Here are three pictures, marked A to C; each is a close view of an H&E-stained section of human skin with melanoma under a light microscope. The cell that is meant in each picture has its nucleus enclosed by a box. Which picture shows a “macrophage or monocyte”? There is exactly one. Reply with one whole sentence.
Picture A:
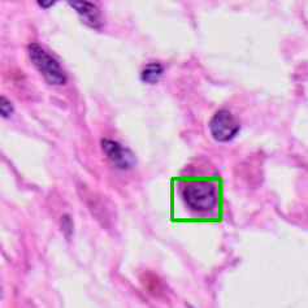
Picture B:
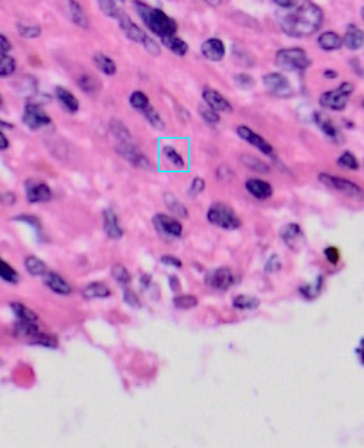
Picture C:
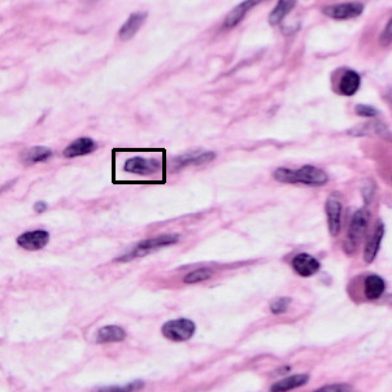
Picture A shows the “macrophage or monocyte”.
